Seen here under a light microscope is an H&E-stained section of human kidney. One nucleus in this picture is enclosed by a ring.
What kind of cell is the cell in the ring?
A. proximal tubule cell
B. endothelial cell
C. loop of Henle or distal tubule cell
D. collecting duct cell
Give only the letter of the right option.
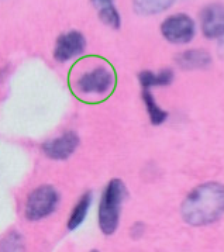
C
